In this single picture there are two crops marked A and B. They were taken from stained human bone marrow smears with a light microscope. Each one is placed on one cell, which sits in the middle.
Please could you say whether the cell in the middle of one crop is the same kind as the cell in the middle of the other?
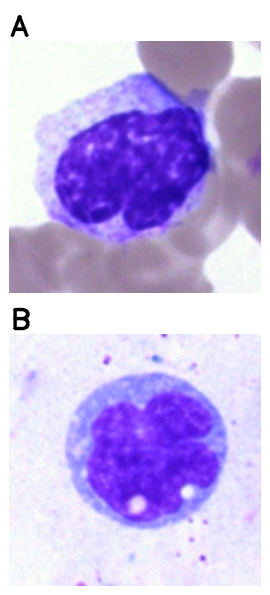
yes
